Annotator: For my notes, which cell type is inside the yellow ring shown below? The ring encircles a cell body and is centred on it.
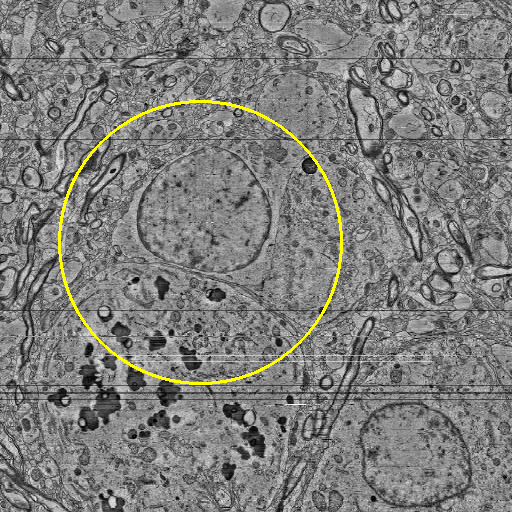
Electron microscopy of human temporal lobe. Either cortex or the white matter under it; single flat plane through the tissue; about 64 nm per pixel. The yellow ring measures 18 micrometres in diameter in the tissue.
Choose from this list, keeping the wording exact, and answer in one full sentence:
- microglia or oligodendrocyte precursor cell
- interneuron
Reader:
At the centre of the yellow ring there is a microglial cell or oligodendrocyte precursor cell, as shown in the picture.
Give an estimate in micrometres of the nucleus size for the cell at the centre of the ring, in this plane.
Approximately 9 micrometers across in this plane.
